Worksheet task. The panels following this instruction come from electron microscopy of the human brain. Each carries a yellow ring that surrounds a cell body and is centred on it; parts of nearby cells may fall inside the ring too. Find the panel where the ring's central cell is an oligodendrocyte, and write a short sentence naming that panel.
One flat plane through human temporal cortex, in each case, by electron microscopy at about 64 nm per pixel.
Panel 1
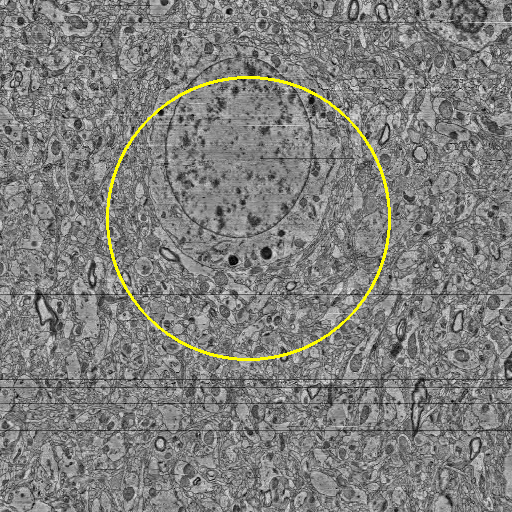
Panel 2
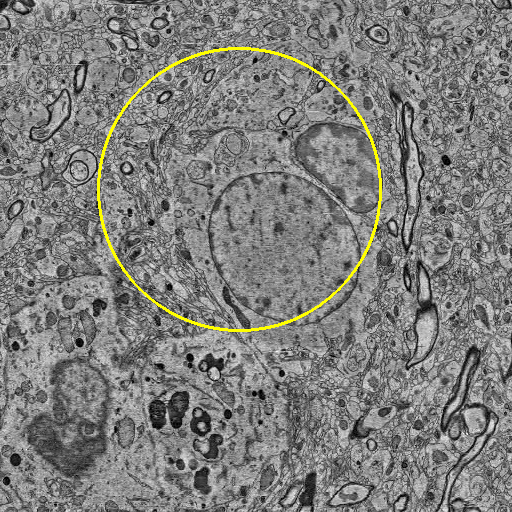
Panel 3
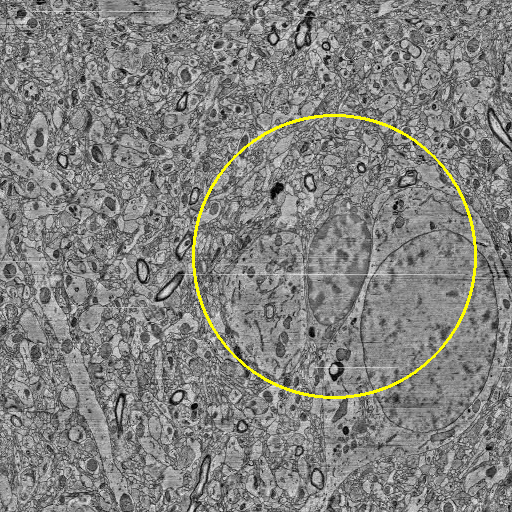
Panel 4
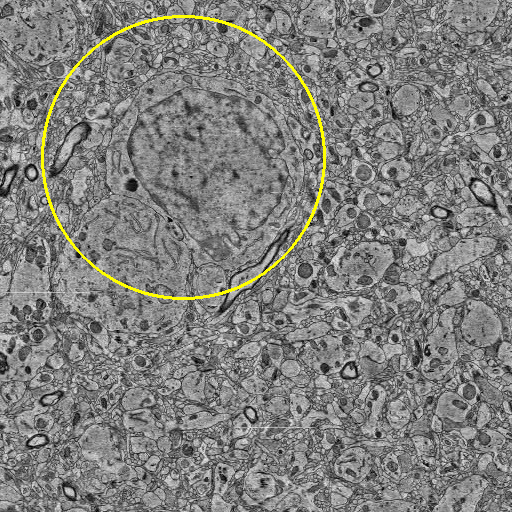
The cell sought is in Panel 3.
